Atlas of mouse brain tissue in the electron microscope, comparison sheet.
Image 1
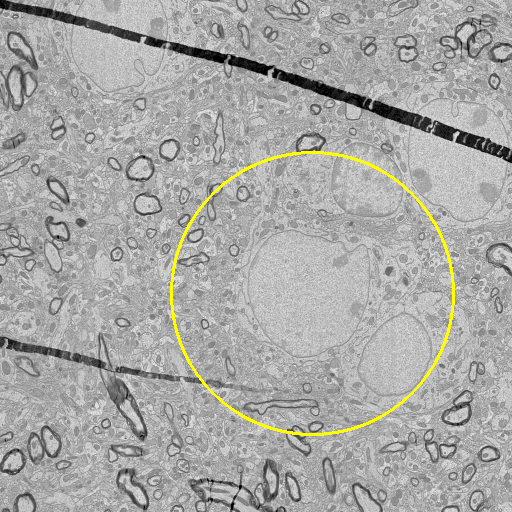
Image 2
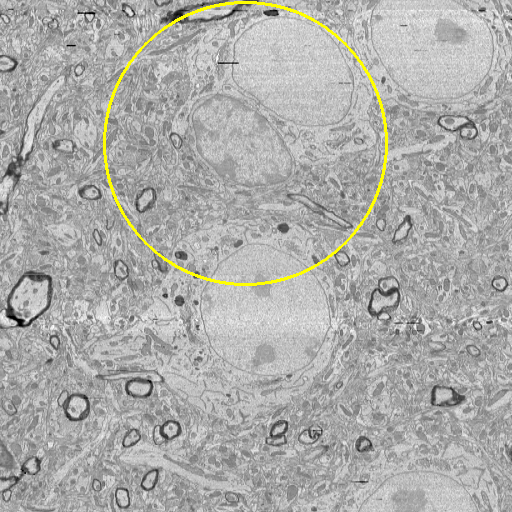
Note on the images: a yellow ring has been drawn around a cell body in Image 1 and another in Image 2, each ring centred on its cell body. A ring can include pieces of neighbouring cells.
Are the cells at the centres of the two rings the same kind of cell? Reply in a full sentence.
No, the two cells are of two kinds.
